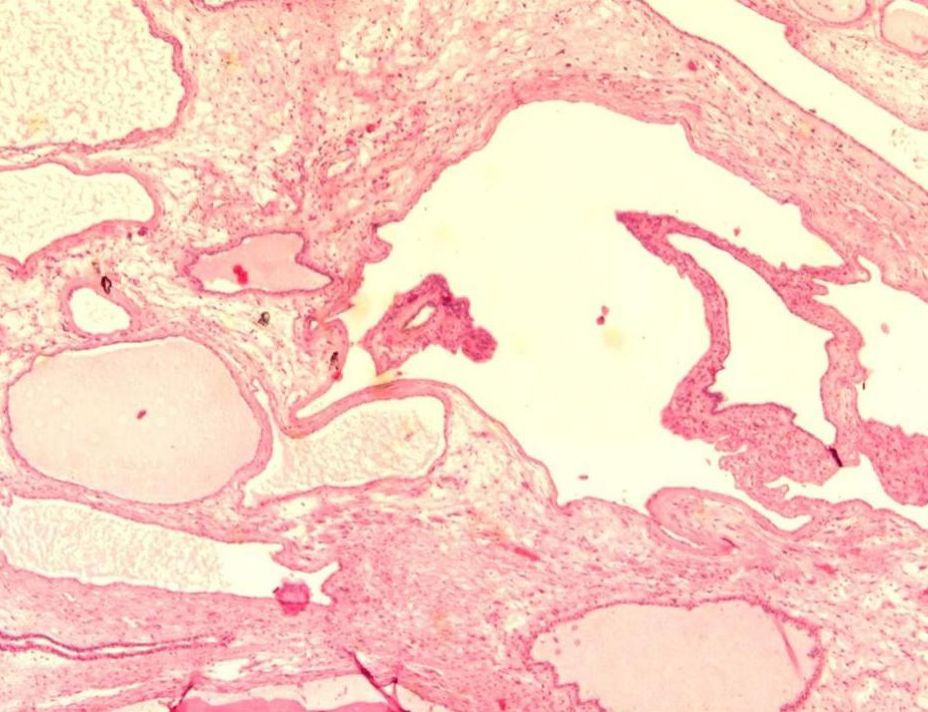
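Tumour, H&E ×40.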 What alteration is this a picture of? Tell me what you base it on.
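Pale eosinophilic intraluminal secretions. Several of the spaces are filled with homogeneous pale pink material. The material lies inside the lumens, not in the stroma.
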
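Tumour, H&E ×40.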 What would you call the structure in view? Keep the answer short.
cistically dilatated glands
